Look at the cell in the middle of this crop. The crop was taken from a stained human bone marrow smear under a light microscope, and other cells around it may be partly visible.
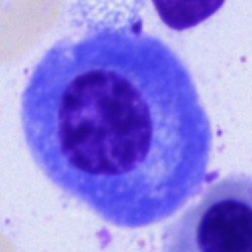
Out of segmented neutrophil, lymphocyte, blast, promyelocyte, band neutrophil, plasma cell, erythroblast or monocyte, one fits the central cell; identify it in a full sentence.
The centrally located cell in the crop is a plasma cell.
